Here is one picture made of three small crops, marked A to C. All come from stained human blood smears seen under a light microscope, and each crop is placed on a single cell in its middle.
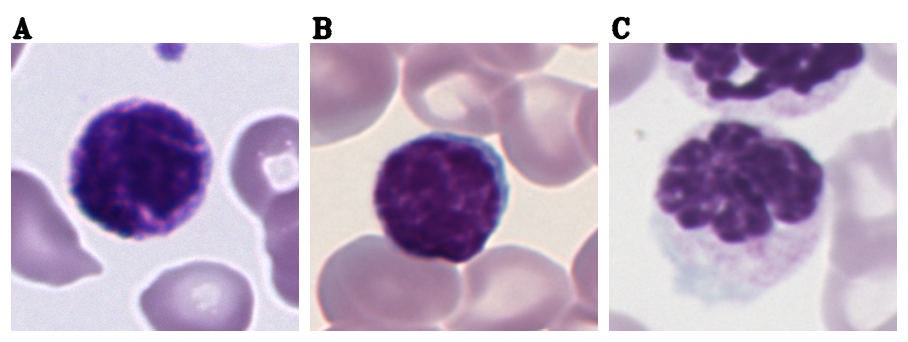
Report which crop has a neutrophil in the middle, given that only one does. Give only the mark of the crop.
C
